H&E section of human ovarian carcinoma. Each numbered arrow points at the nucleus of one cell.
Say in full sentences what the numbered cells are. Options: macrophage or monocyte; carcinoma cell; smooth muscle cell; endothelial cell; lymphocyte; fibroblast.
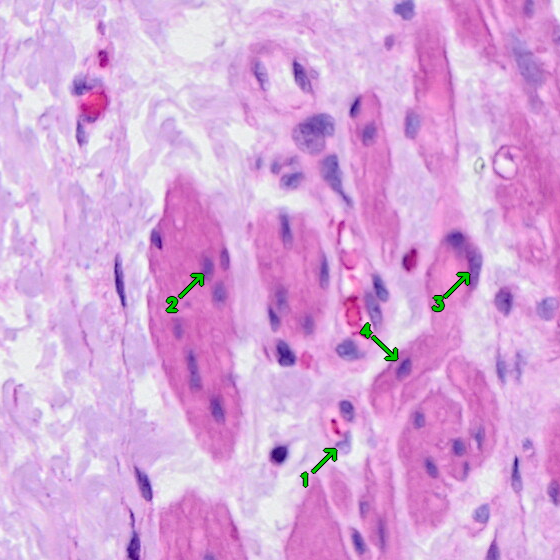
Cell 1 is an endothelial cell. Cells 2, 3 and 4 are smooth muscle cells.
